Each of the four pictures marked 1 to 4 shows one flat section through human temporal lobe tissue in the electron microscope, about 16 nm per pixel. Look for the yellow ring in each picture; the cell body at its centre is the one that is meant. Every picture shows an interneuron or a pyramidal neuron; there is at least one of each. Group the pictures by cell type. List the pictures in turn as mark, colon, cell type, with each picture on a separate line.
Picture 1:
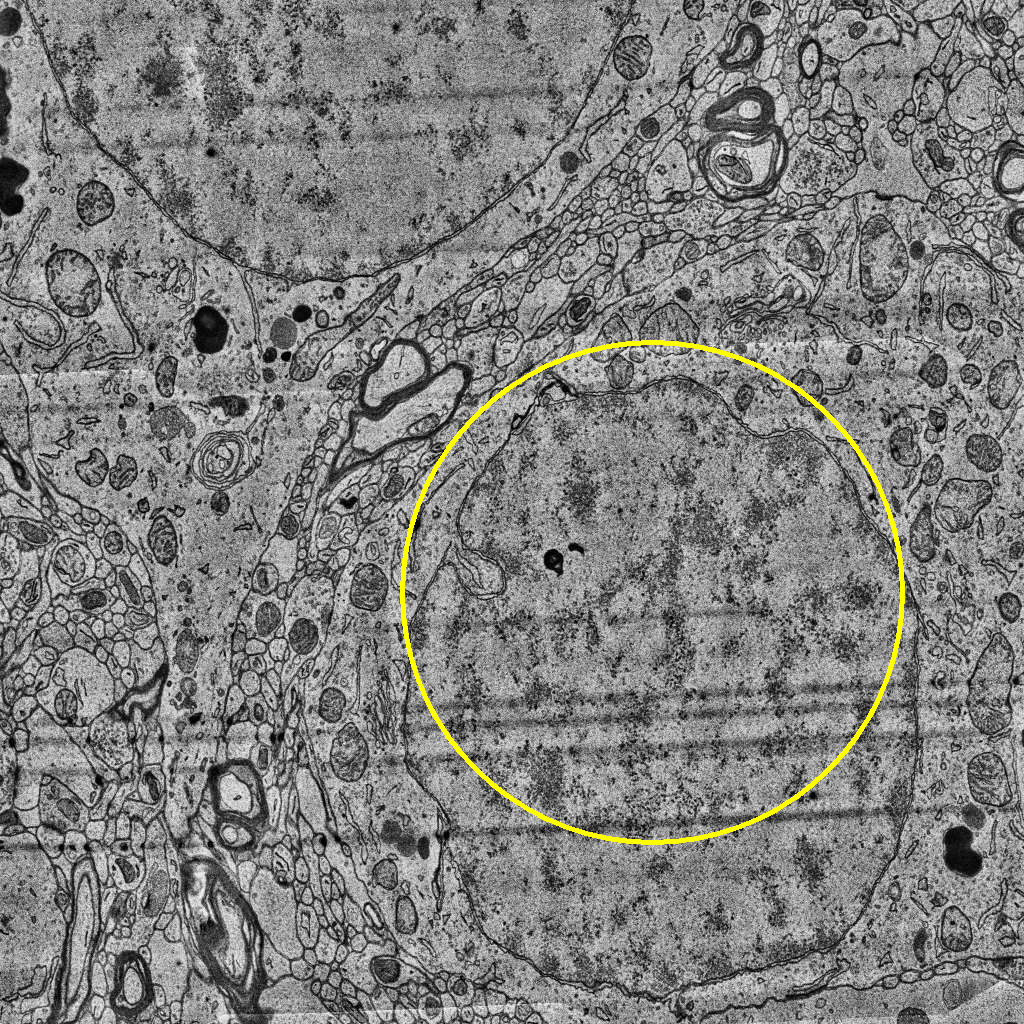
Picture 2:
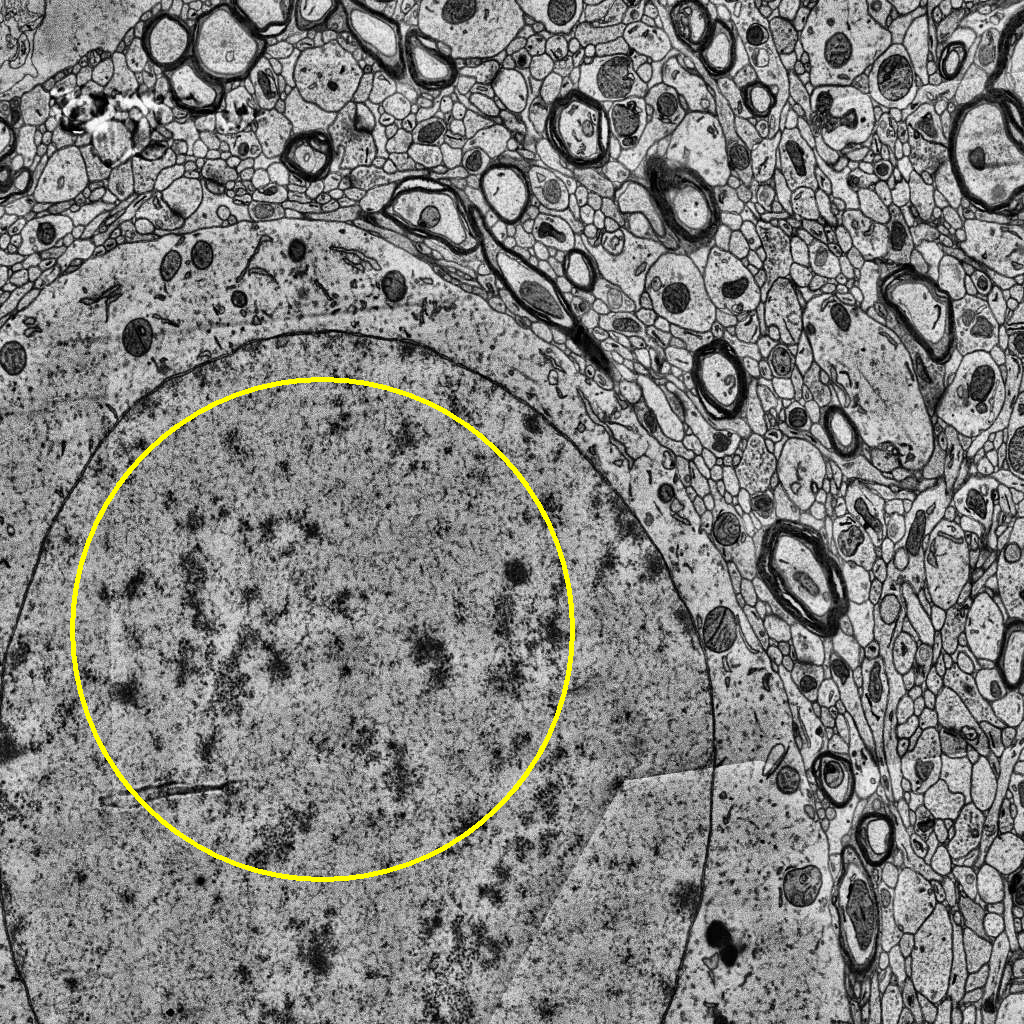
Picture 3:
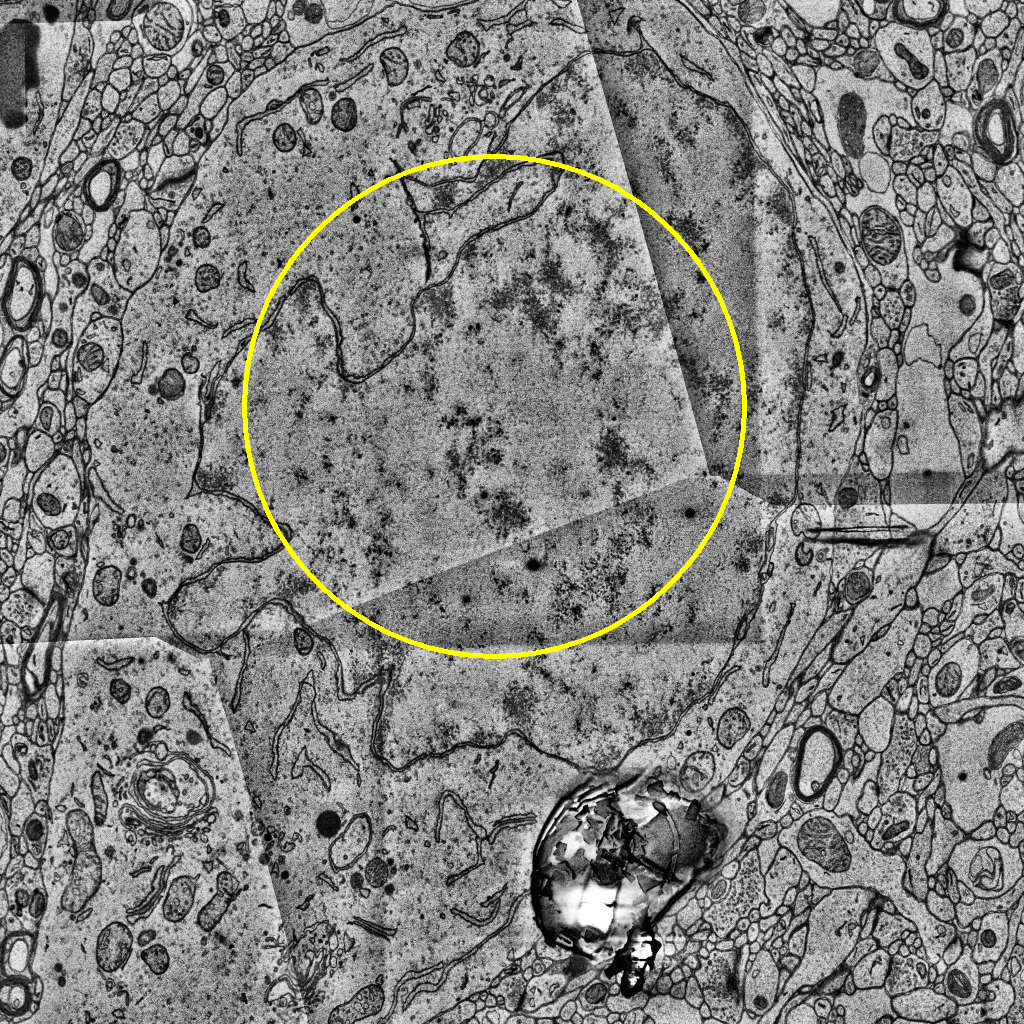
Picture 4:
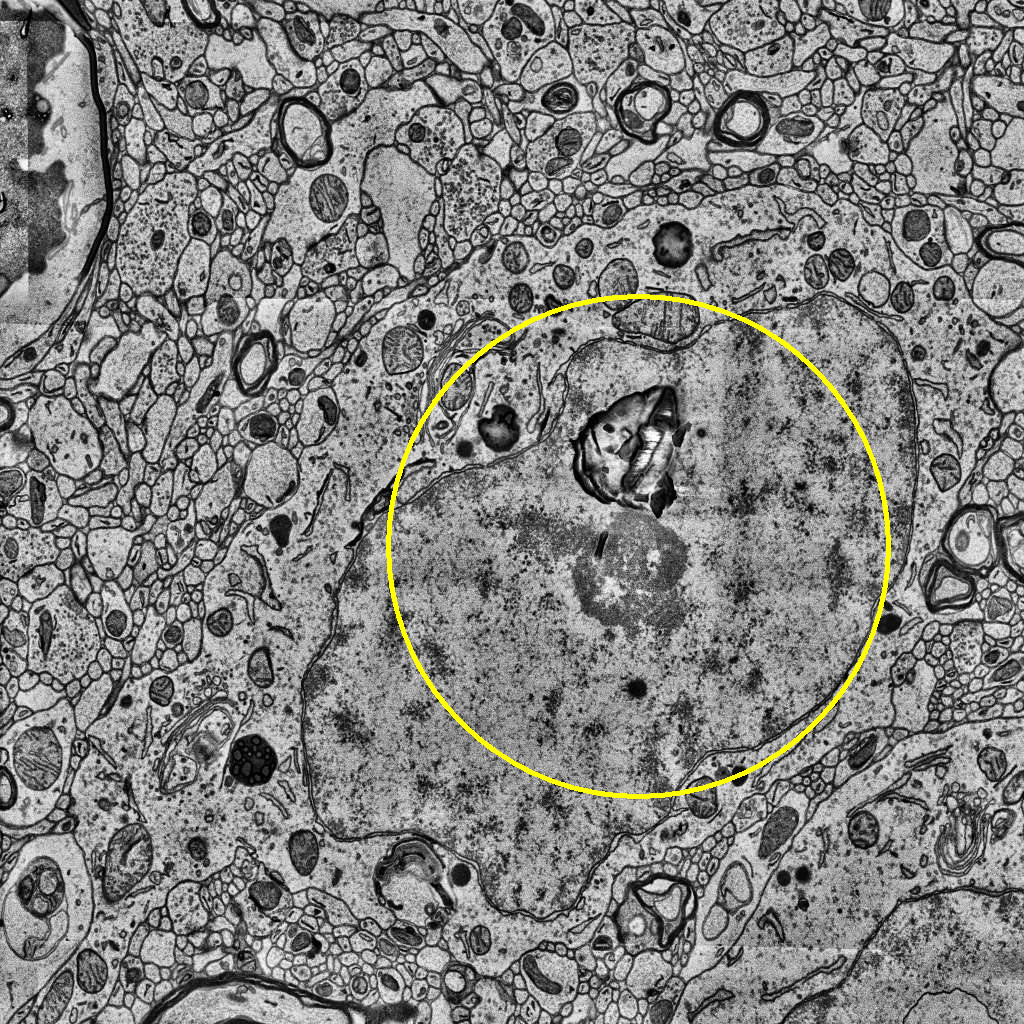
1: interneuron
2: pyramidal neuron
3: interneuron
4: interneuron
